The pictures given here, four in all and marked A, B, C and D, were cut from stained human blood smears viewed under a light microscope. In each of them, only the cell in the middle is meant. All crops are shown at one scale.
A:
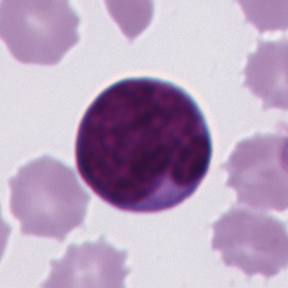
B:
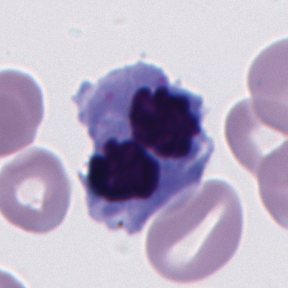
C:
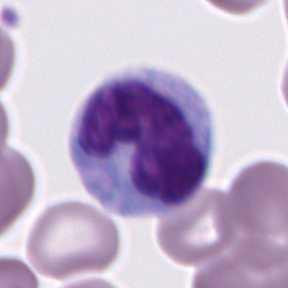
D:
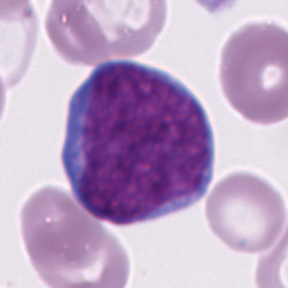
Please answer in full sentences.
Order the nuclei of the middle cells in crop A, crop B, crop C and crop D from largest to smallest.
Going down, they run D, A, C, B.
